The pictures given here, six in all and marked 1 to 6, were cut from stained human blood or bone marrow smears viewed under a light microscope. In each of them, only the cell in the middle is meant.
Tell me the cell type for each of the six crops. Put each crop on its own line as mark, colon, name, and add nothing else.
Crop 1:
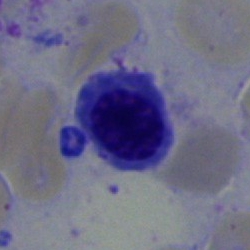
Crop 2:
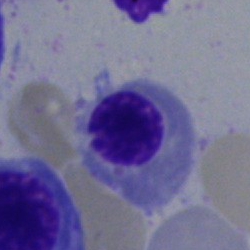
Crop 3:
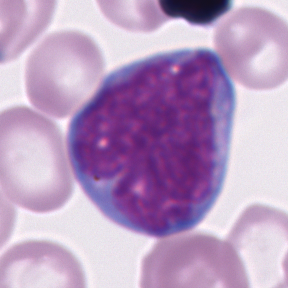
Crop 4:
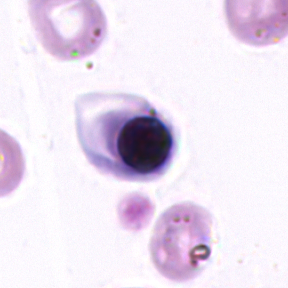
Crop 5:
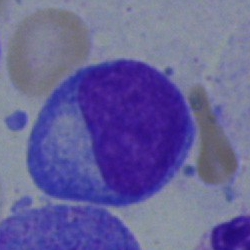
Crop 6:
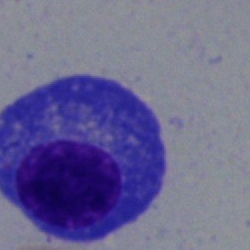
1: erythroblast
2: erythroblast
3: blast
4: erythroblast
5: blast
6: plasma cell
